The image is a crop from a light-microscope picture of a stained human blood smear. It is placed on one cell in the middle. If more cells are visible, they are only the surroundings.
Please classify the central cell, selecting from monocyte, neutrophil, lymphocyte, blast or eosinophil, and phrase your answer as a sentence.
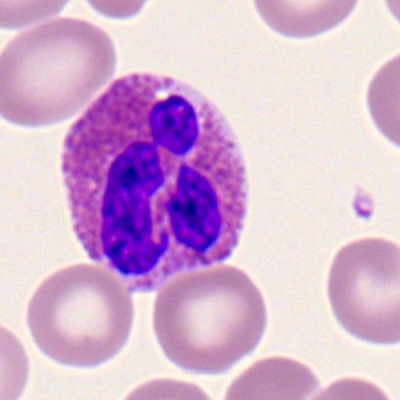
As for the cell in the middle, it is an eosinophil.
